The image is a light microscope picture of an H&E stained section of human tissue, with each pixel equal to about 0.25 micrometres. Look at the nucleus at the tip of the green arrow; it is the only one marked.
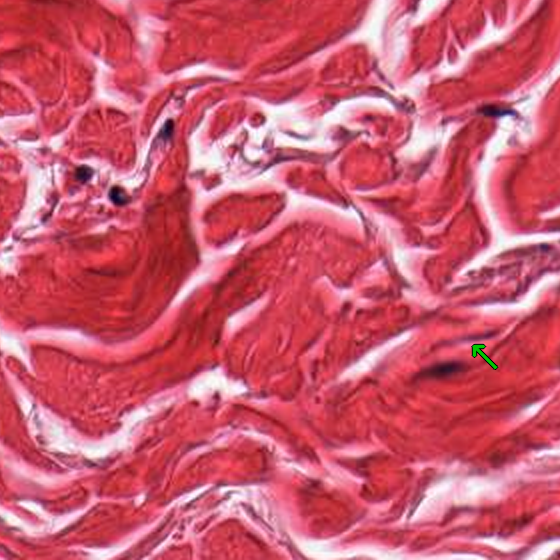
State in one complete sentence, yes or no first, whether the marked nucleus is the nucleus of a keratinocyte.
No, that the marked nucleus belongs to a keratinocyte does not hold; it belongs to a supporting cell.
